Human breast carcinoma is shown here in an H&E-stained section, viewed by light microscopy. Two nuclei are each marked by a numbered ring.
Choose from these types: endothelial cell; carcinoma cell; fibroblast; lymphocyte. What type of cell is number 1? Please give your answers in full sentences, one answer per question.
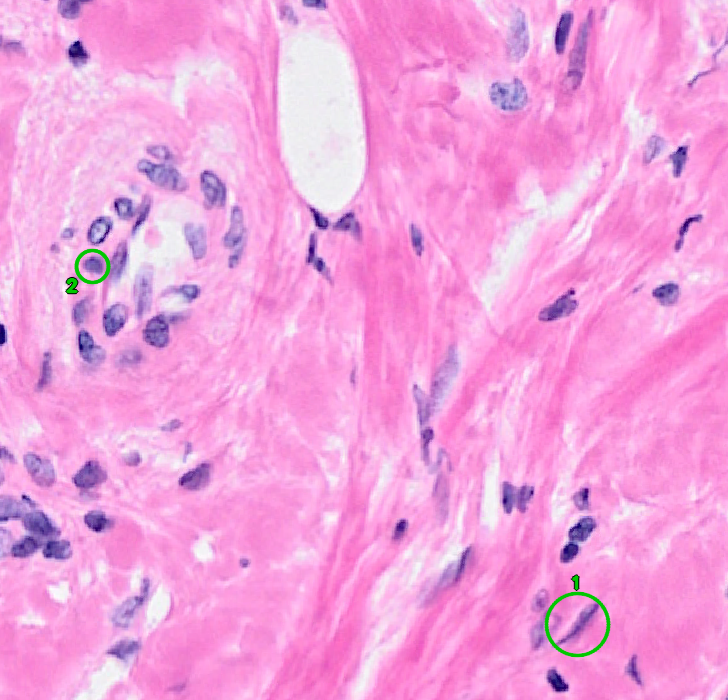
Denoted by the label 1 in the section is a fibroblast.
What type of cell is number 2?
Cell 2 of the marked set is an endothelial cell.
